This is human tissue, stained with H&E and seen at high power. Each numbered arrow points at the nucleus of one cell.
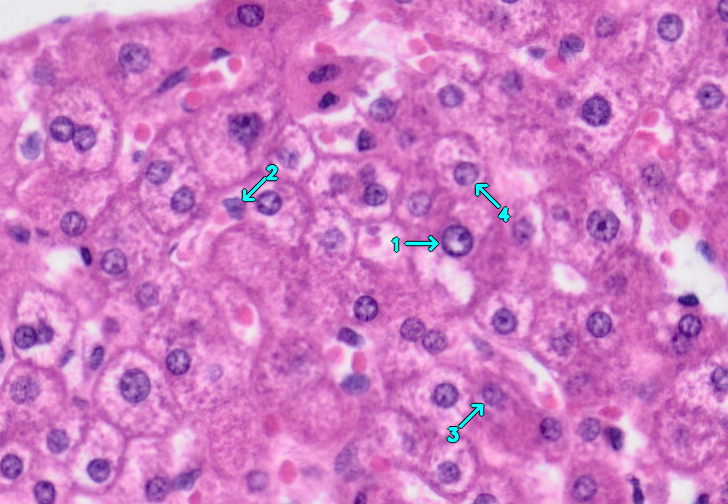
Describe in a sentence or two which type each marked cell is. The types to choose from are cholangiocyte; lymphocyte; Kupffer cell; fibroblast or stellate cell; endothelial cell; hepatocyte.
Cell 1 is a hepatocyte, cell 2 is an endothelial cell, cell 3 is a hepatocyte and cell 4 is a hepatocyte.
